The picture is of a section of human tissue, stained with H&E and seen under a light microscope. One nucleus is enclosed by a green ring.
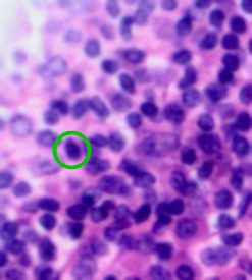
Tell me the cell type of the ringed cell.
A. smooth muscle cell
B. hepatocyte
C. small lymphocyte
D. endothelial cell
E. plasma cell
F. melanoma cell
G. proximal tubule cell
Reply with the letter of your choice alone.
C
